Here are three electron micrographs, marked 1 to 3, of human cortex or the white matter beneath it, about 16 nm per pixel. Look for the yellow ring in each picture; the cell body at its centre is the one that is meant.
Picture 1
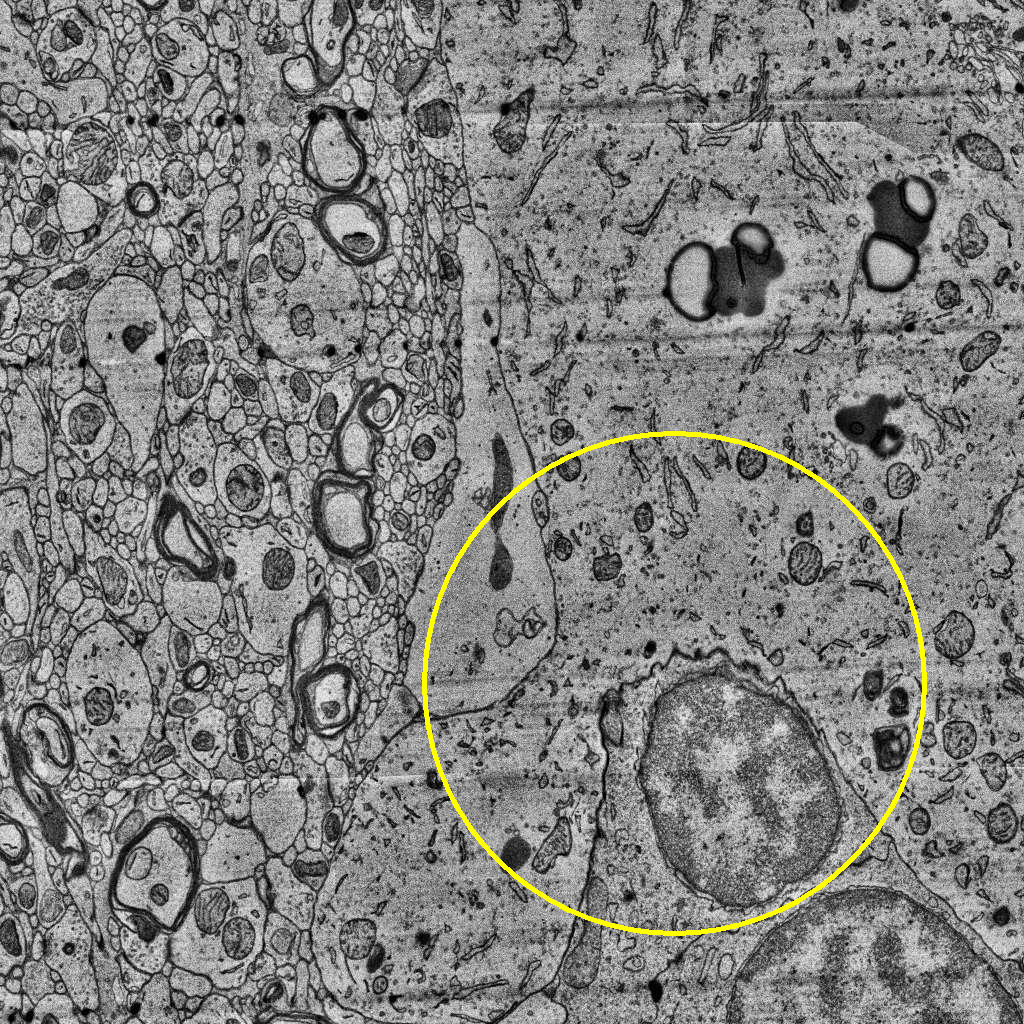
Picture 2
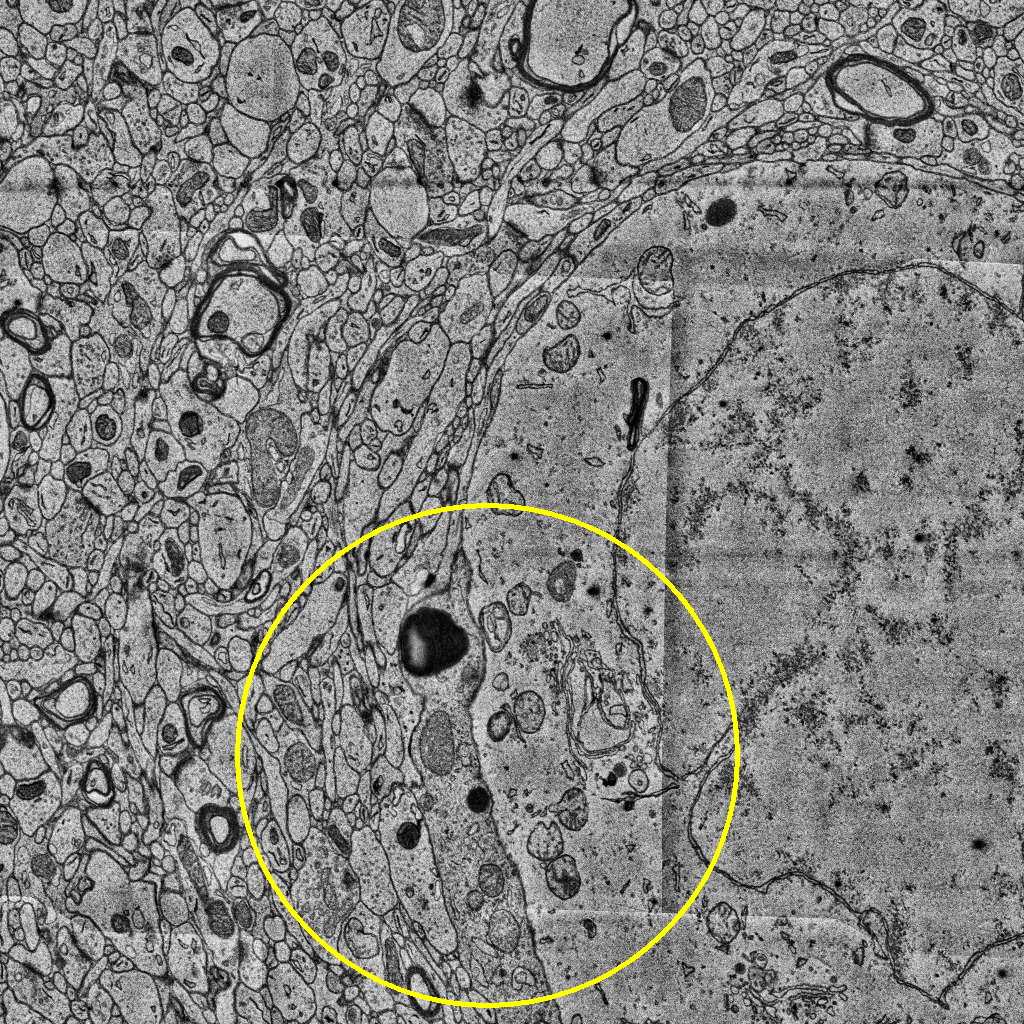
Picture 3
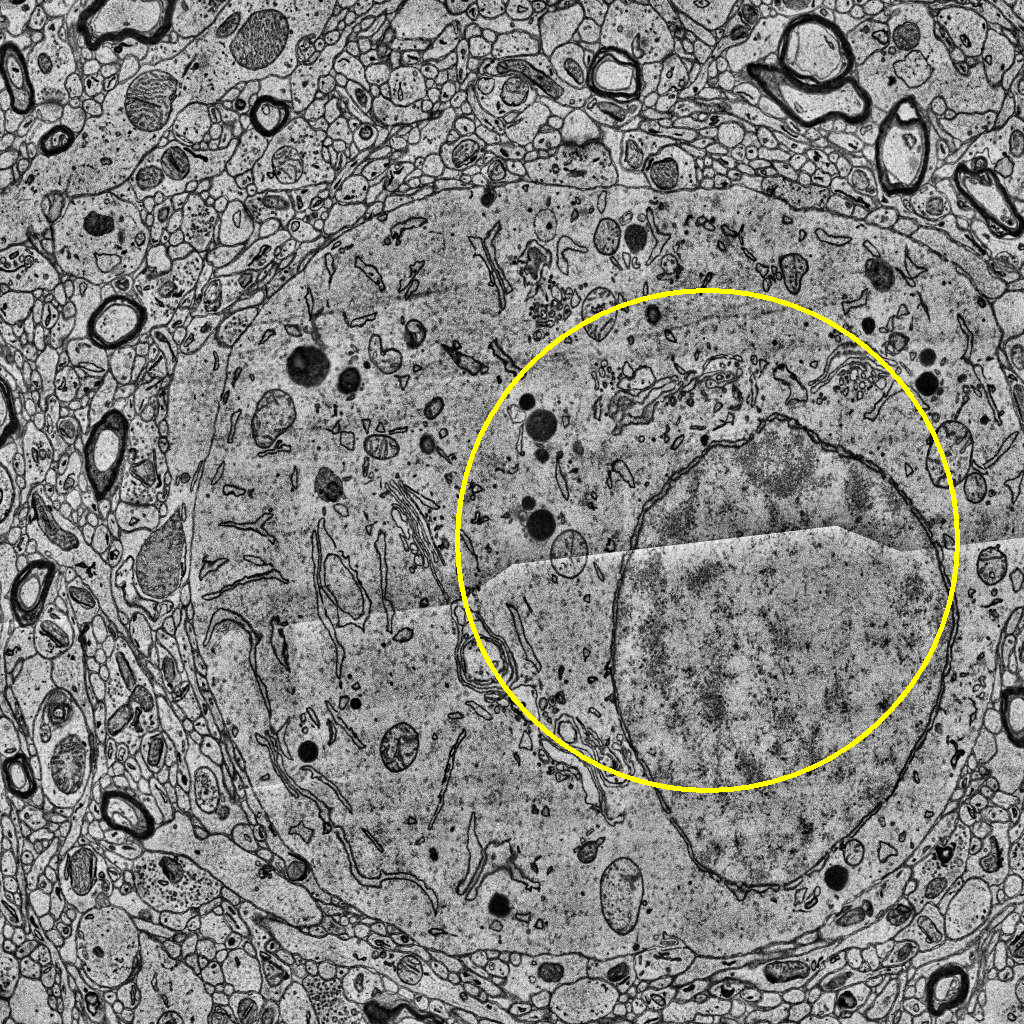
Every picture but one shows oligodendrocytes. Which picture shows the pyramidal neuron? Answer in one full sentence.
The cell in picture 3 is the pyramidal neuron.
